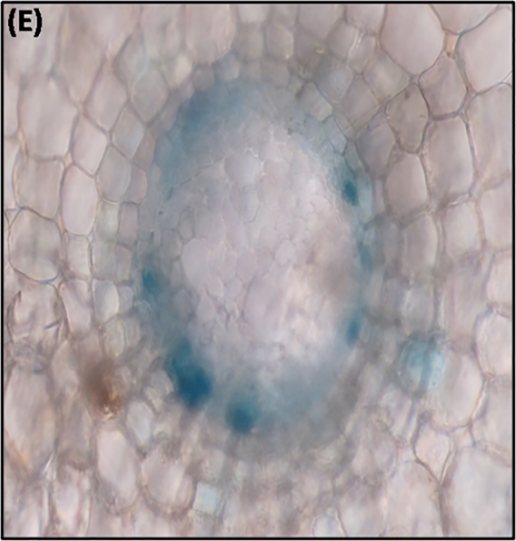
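Close view of the central vascular cylinder of a root in cross section. Large, thin-walled, polygonal cortical parenchyma cells surround a ring of smaller, flattened cells bounding the cylinder. Inside, the cylinder holds many pale, rounded cells of varying size. The centre of the cylinder is largely unstained. A small brownish deposit lies in the cortex at the left.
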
